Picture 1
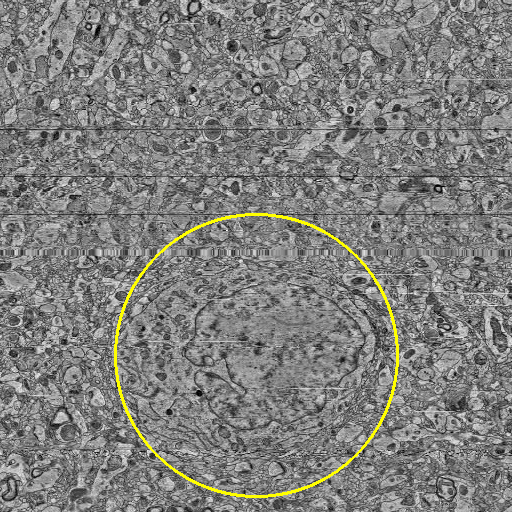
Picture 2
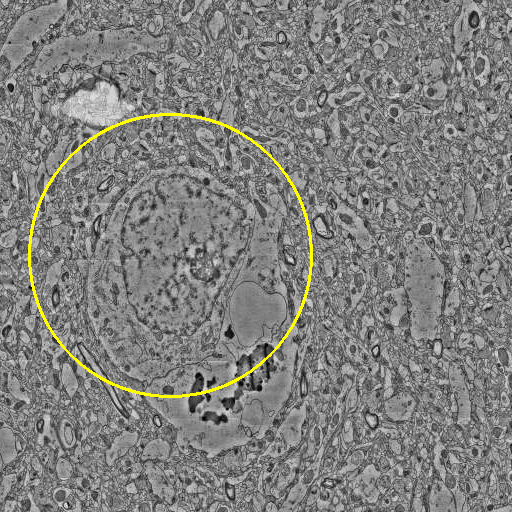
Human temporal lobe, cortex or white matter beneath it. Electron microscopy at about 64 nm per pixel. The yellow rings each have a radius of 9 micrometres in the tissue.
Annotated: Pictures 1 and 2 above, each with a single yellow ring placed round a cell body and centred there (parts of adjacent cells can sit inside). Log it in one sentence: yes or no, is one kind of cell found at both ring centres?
Yes, the ring centres of the two pictures hold cells of one kind.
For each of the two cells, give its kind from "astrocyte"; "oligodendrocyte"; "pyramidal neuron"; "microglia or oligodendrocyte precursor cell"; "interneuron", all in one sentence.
Each of the two pictures has an interneuron at the ring centre.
